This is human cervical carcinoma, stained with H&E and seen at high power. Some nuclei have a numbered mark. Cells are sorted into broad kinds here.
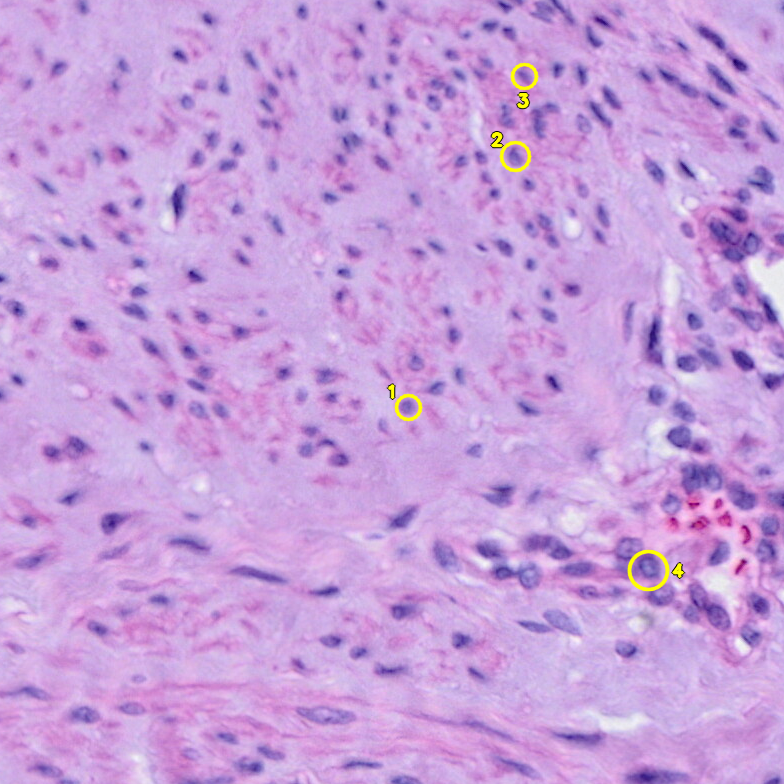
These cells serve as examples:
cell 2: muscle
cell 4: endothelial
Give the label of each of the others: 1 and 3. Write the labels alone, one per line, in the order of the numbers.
muscle
muscle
